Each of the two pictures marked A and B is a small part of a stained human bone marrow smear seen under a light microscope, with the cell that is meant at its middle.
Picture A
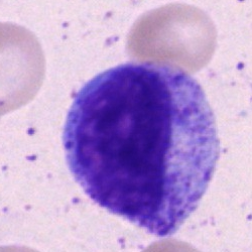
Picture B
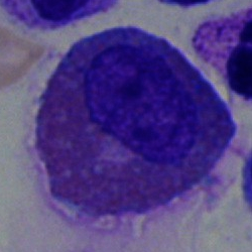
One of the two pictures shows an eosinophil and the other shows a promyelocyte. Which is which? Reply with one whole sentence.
It is picture A that shows a promyelocyte, and picture B that shows an eosinophil.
